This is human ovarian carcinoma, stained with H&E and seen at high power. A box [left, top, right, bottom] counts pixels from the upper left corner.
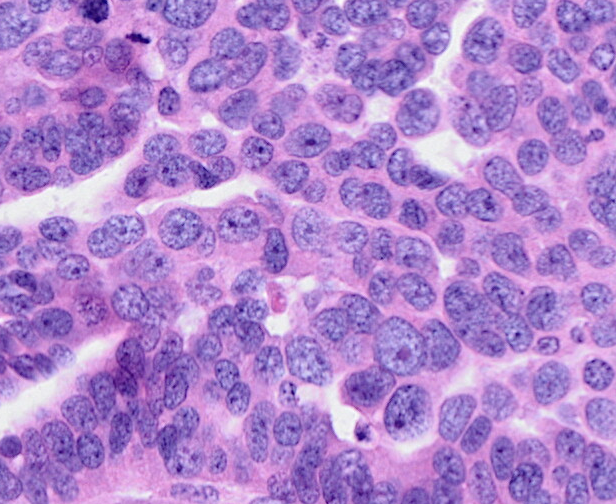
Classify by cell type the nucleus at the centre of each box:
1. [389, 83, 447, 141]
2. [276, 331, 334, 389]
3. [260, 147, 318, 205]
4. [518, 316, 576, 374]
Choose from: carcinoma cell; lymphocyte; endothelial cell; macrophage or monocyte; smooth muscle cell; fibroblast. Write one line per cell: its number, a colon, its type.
1: carcinoma cell
2: carcinoma cell
3: carcinoma cell
4: macrophage or monocyte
